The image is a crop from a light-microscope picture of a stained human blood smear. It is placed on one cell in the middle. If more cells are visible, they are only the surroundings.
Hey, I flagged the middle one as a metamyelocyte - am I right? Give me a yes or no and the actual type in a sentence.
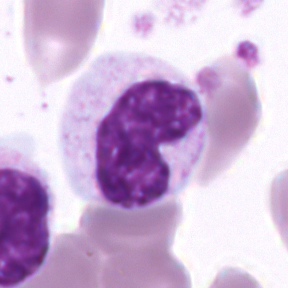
Yes, in the middle of the crop is a metamyelocyte.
